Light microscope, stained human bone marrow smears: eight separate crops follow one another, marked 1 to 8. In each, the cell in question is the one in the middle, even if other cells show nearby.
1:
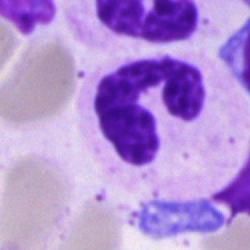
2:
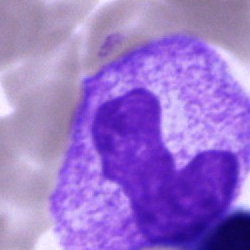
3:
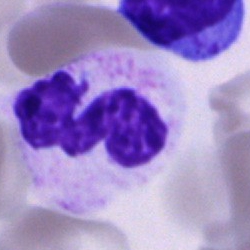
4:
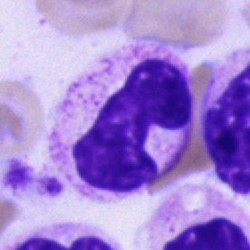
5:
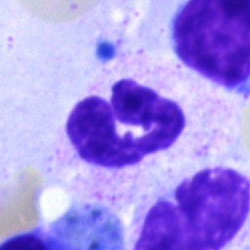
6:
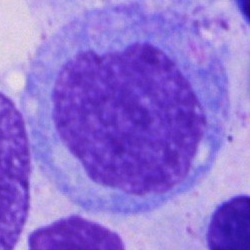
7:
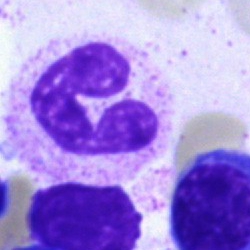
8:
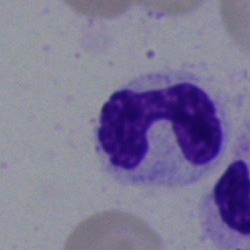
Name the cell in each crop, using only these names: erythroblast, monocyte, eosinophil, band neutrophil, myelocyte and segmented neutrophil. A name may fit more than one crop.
1: segmented neutrophil
2: band neutrophil
3: segmented neutrophil
4: band neutrophil
5: segmented neutrophil
6: monocyte
7: segmented neutrophil
8: band neutrophil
